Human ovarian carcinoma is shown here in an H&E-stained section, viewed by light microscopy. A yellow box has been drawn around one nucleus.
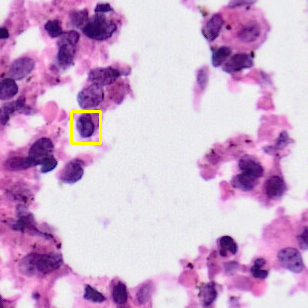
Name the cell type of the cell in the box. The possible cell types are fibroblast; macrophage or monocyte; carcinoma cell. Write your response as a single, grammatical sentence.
In cell-type terms, the cell in the box is a macrophage or monocyte.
